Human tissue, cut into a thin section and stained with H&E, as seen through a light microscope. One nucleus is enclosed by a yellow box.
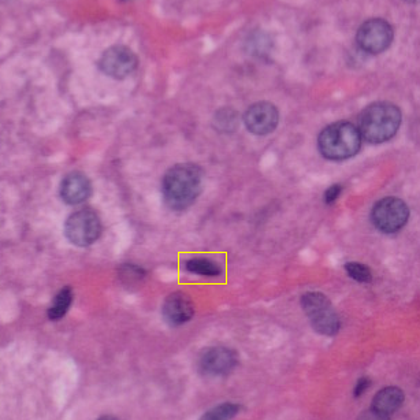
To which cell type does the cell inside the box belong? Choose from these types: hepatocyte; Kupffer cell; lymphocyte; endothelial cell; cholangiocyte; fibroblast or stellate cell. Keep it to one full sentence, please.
In this field of tissue, the cell inside the box is a fibroblast or stellate cell.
